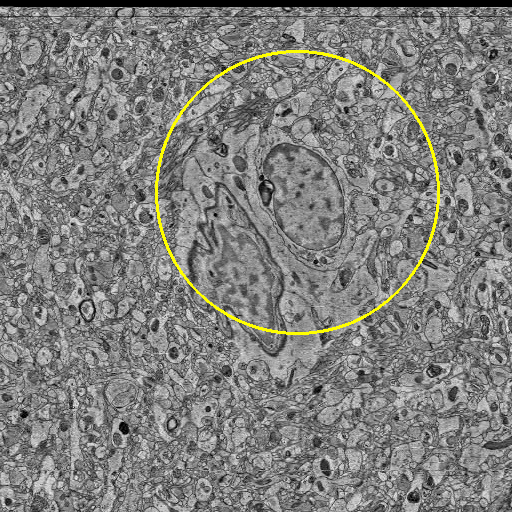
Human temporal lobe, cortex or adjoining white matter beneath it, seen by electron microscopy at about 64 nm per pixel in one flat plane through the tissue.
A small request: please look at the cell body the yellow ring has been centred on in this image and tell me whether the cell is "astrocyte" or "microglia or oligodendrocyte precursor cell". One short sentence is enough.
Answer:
The cell marked by the ring is a microglial cell or oligodendrocyte precursor cell.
